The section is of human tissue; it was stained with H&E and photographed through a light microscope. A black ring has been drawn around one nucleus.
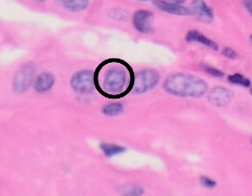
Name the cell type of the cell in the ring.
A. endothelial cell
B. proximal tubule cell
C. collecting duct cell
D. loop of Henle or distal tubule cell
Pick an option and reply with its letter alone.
C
